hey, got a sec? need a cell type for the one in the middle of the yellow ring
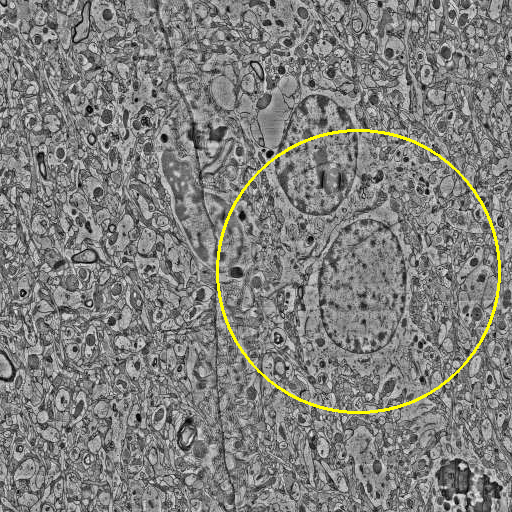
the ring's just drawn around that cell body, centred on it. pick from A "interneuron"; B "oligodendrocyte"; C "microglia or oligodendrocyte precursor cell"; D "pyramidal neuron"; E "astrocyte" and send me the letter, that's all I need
E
